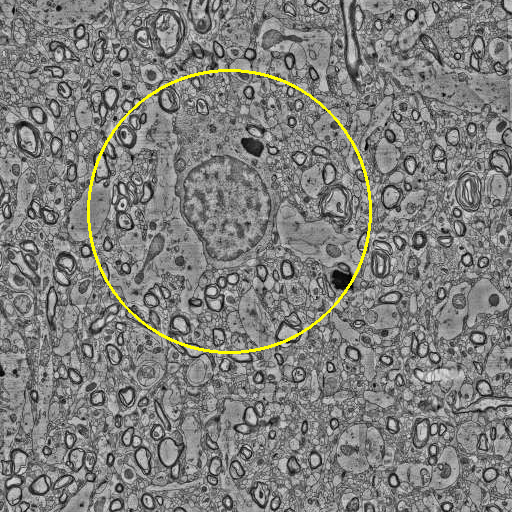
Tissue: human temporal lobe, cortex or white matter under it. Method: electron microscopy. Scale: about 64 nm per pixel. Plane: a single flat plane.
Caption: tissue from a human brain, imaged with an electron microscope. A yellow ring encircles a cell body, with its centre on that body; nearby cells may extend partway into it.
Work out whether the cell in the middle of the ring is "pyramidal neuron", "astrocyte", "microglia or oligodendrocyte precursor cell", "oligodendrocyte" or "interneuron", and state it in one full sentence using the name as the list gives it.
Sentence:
In the picture, the cell that the yellow ring surrounds at its centre is an oligodendrocyte.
